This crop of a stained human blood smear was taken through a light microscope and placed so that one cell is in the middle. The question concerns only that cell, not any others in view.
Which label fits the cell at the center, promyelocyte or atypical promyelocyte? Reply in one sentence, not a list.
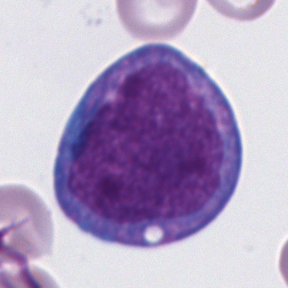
Where the crop is centred, there is a promyelocyte.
